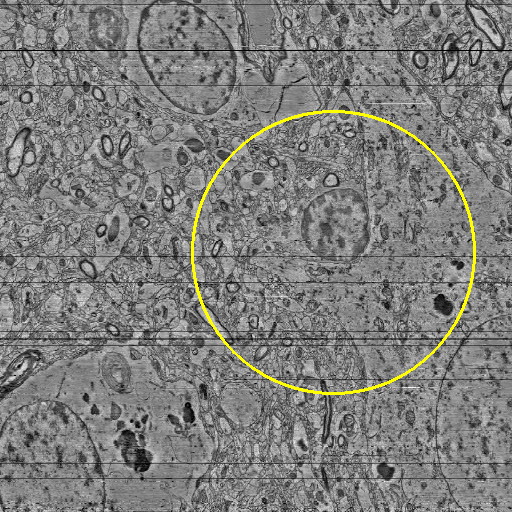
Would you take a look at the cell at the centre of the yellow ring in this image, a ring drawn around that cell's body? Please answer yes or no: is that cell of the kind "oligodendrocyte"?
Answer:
yes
